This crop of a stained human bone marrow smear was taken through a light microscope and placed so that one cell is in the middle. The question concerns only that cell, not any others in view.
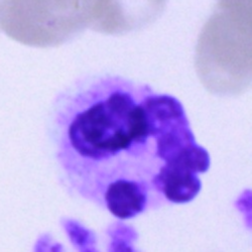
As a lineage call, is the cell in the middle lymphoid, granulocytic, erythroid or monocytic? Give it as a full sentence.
Here the cell at the center is of the granulocytic lineage.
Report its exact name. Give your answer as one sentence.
The cell under consideration, at the middle of the crop, is a segmented neutrophil.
